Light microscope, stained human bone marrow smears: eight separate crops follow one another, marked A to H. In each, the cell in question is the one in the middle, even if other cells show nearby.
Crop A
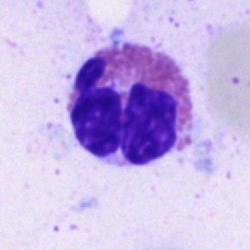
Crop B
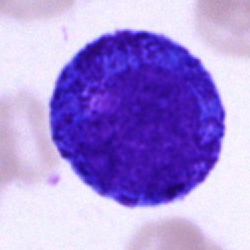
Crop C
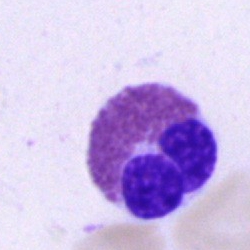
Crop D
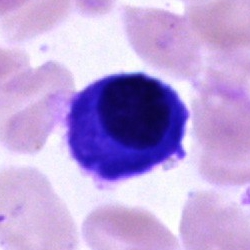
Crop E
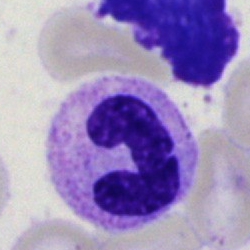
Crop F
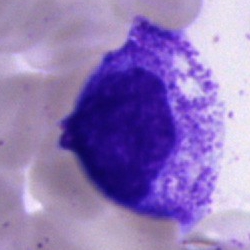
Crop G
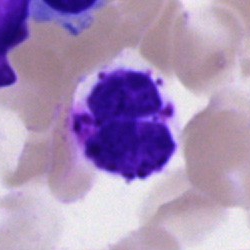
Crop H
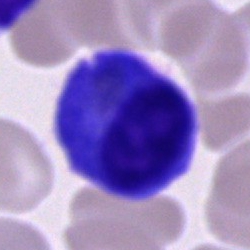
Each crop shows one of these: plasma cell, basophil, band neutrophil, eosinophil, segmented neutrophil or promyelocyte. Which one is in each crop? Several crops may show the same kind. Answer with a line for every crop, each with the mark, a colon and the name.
A: eosinophil
B: promyelocyte
C: eosinophil
D: plasma cell
E: band neutrophil
F: promyelocyte
G: basophil
H: plasma cell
